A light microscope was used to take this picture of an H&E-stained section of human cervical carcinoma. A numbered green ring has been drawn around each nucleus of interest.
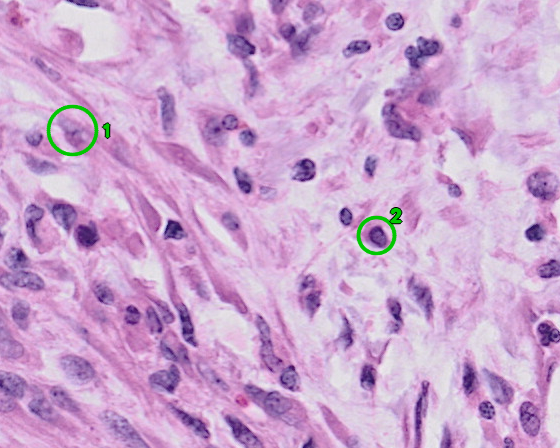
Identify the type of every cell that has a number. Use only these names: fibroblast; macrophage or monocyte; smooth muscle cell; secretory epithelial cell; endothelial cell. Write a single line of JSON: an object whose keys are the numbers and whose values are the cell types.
{"1": "fibroblast", "2": "macrophage or monocyte"}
